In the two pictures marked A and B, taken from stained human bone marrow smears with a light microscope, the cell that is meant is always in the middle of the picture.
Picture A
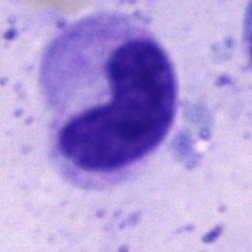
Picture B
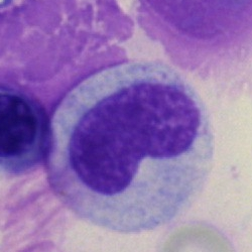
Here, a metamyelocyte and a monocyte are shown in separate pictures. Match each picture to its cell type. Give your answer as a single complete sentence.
Picture A is of a metamyelocyte, and picture B is of a monocyte.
